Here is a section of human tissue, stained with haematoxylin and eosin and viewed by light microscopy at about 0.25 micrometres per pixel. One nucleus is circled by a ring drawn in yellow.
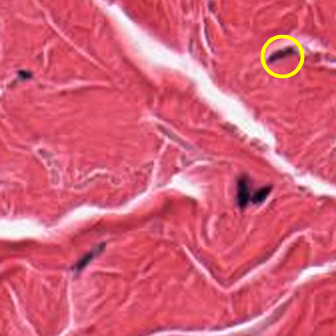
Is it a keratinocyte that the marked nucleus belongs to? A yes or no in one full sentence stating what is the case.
No, a keratinocyte is not the cell of the marked nucleus; a supporting cell is.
